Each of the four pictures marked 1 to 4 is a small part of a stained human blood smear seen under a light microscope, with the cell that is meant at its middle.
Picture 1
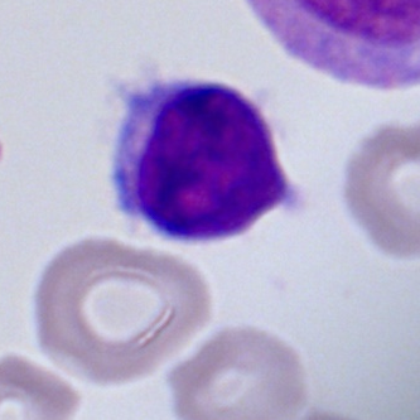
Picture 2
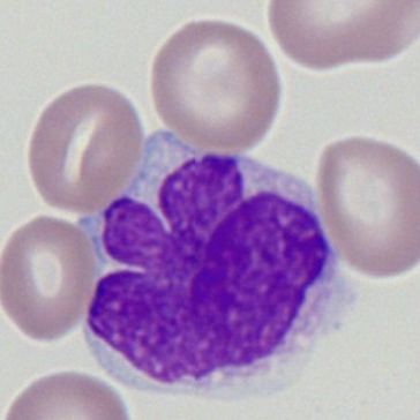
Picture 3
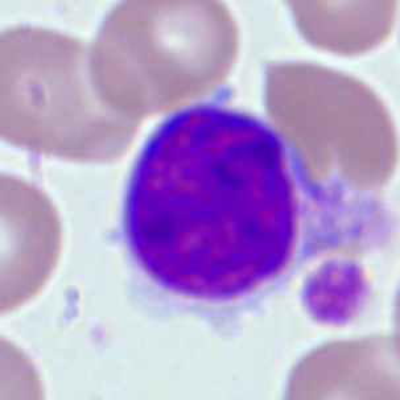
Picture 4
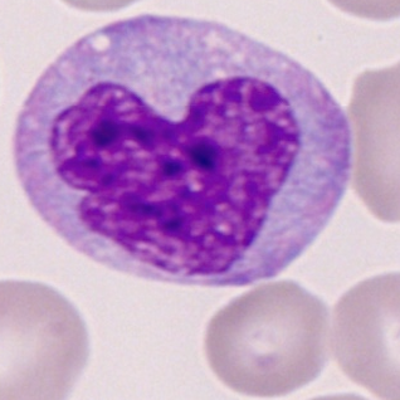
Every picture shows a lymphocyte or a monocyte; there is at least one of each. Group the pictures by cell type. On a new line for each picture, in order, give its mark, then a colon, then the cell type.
1: lymphocyte
2: monocyte
3: lymphocyte
4: monocyte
